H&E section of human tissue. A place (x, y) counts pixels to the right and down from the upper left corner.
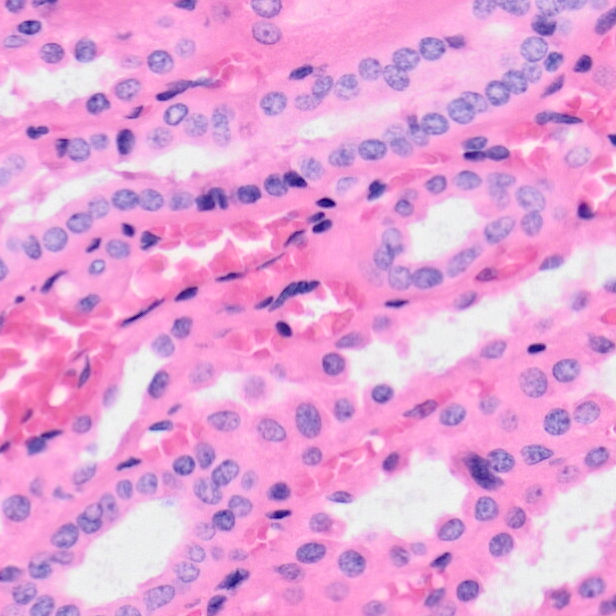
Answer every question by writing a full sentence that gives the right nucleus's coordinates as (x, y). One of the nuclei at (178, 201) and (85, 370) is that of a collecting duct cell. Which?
The nucleus that sits at (178, 201) is the nucleus of a collecting duct cell.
